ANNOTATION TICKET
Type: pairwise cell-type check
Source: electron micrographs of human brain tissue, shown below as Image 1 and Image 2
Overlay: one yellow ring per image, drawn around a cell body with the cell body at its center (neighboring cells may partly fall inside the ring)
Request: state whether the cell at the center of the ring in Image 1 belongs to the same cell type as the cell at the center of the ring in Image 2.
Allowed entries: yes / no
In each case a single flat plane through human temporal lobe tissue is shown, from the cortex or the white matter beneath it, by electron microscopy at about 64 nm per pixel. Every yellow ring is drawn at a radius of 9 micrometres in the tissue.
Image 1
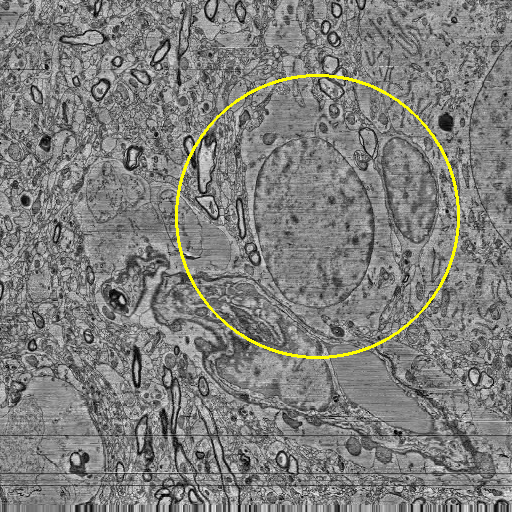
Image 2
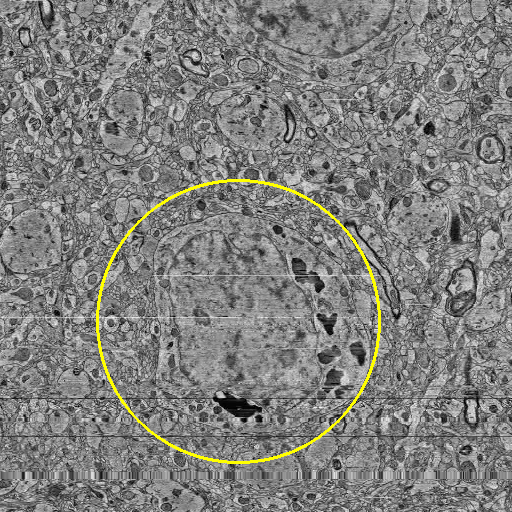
no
